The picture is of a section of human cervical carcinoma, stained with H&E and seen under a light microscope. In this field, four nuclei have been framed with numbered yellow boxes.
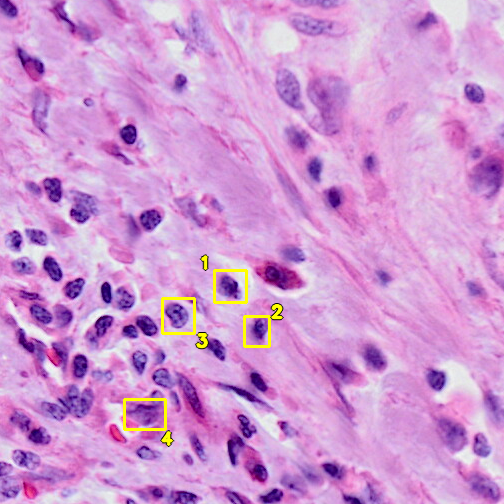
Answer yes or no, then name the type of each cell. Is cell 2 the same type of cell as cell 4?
No, cell 2 is a lymphocyte and cell 4 is an endothelial cell.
